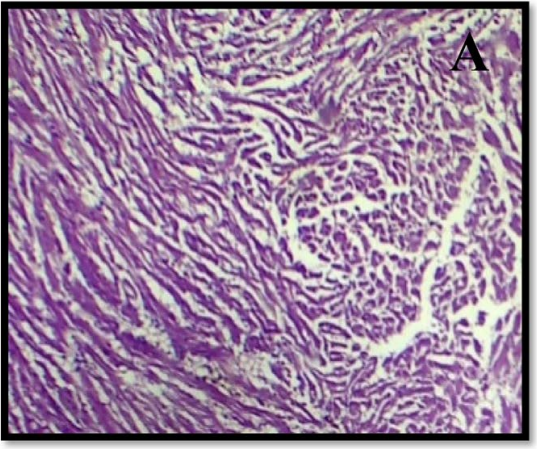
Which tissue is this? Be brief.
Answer: Heart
